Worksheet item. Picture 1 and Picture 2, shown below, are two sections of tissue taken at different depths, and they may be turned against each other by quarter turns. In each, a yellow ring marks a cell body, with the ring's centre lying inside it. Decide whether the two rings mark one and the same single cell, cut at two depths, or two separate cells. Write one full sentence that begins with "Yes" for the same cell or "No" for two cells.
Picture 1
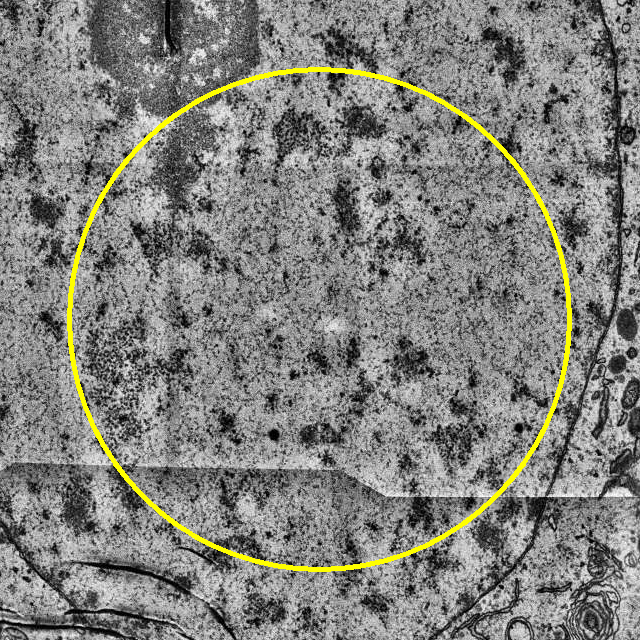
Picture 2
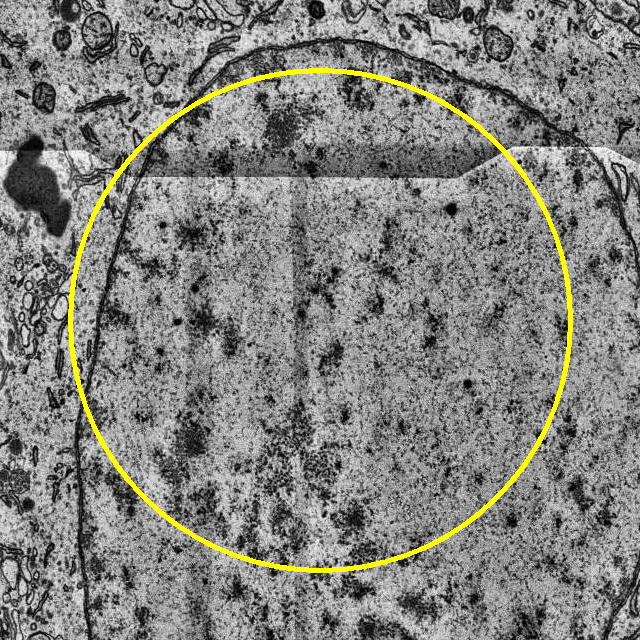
Yes, the cell marked in each ring is one and the same.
